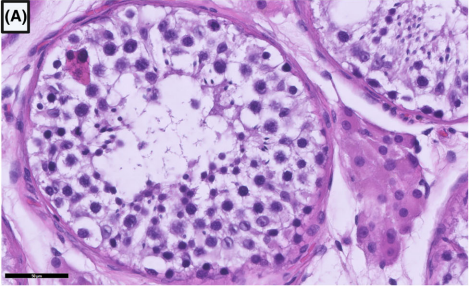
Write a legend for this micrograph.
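A normal testicular tubule is cut across, with active spermatogenesis filling its wall. Germ cells stand in several layers from the thin pink basement wall towards a loose central lumen, the outer cells with round nuclei and the inner ones smaller with dense dark nuclei. Between neighbouring tubules lies interstitial tissue with a cluster of cells with pink cytoplasm.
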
